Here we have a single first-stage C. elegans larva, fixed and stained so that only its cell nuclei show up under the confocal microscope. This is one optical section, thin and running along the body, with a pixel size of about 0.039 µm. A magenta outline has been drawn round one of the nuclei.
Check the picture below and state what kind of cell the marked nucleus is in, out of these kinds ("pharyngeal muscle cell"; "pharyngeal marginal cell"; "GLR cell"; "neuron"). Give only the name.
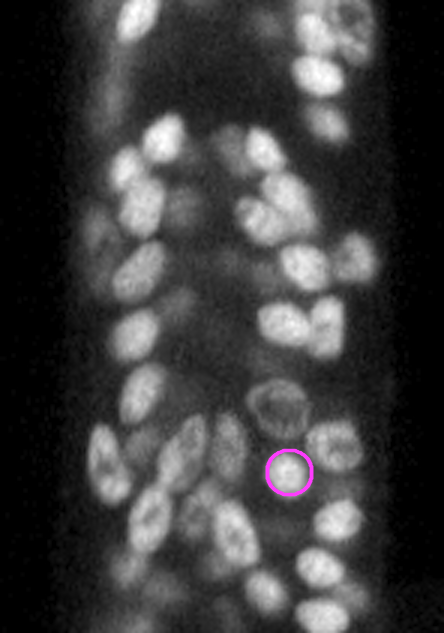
neuron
